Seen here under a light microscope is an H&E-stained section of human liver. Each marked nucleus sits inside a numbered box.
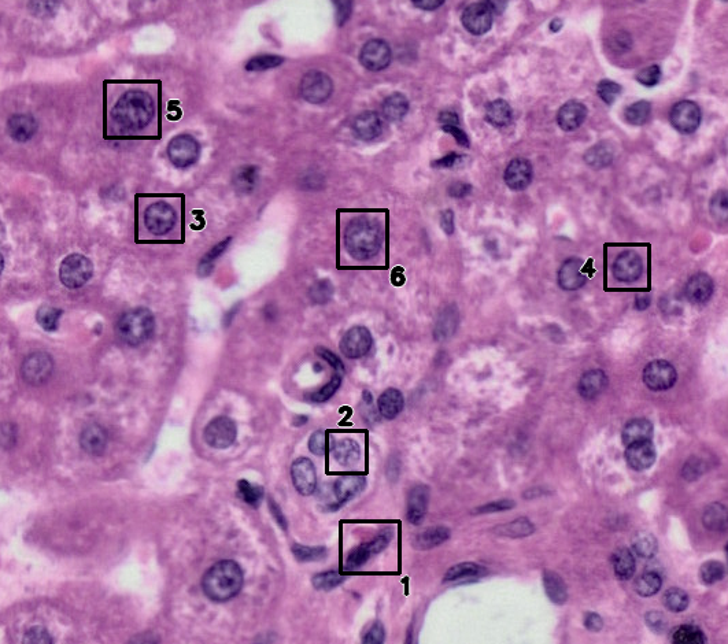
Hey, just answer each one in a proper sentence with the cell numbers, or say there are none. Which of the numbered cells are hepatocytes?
By cell type, the cells numbered 3, 4, 5 and 6 are hepatocytes.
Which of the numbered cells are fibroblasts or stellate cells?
Only one of the numbered nuclei, number 1, belongs to a fibroblast or stellate cell.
